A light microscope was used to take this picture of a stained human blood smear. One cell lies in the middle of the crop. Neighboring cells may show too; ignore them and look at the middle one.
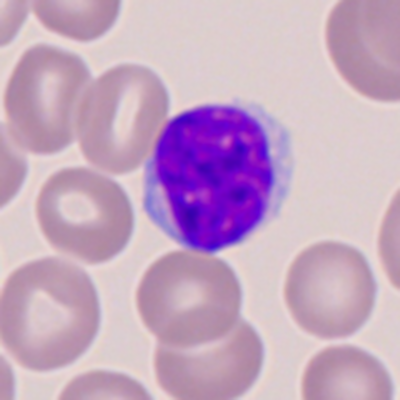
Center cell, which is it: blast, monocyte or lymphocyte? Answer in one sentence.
Regarding the central cell, it is a lymphocyte.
